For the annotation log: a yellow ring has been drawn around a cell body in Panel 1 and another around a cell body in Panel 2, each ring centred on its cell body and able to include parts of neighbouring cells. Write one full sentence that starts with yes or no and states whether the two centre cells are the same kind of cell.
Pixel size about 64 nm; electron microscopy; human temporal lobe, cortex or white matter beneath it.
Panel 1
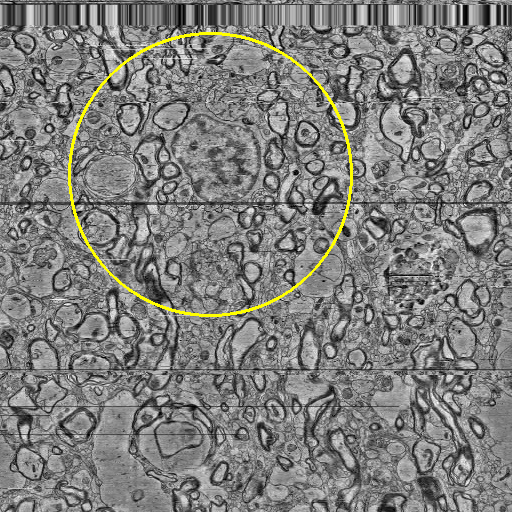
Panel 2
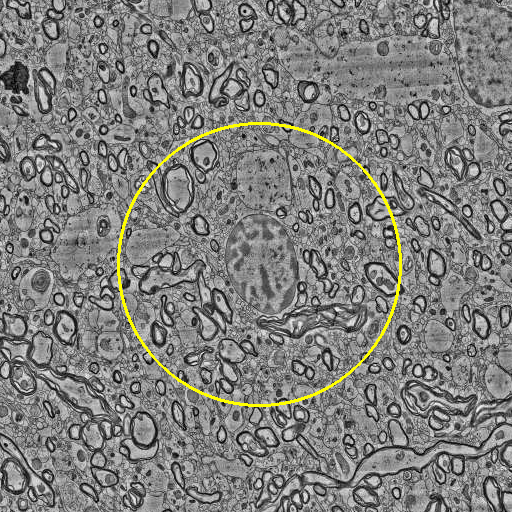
No, the two centre cells are two kinds of cell.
